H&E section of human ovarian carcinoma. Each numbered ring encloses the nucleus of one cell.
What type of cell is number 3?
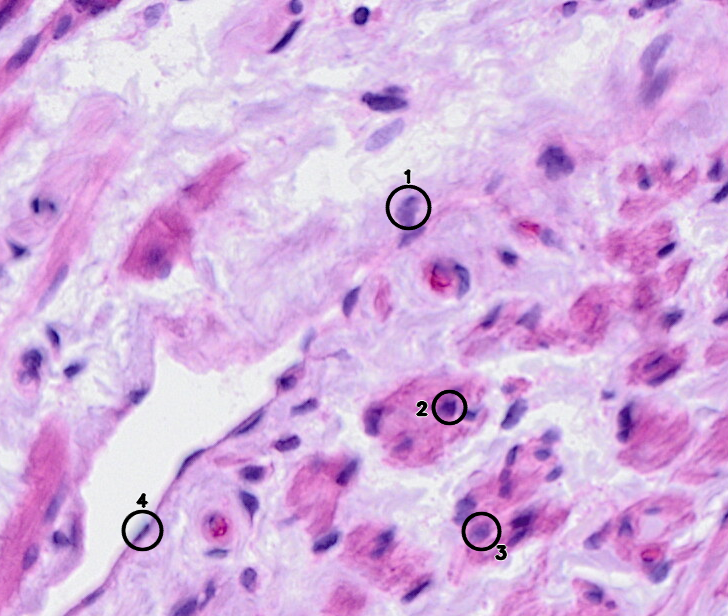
smooth muscle cell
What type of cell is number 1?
fibroblast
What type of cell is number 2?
smooth muscle cell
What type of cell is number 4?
endothelial cell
